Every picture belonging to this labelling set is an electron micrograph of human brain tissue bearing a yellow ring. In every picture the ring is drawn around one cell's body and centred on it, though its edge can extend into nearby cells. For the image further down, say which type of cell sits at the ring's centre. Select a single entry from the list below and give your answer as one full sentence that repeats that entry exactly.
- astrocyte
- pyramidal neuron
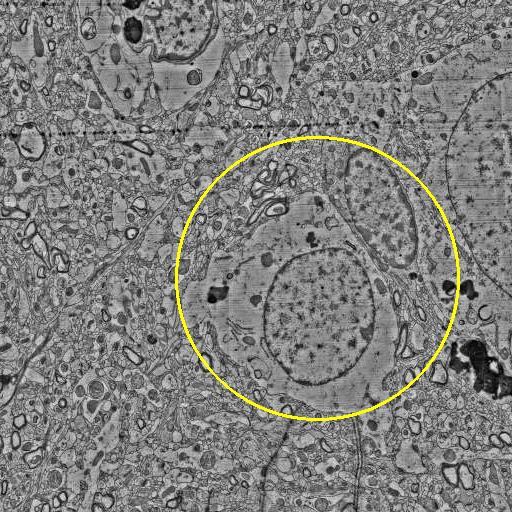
In the picture, an astrocyte is the cell at the centre of the yellow ring.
